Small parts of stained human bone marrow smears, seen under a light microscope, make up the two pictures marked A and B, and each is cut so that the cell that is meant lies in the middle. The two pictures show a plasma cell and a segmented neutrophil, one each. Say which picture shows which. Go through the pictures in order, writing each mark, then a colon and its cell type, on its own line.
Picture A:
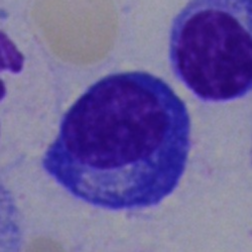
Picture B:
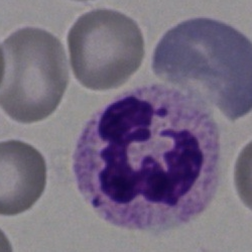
A: plasma cell
B: segmented neutrophil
